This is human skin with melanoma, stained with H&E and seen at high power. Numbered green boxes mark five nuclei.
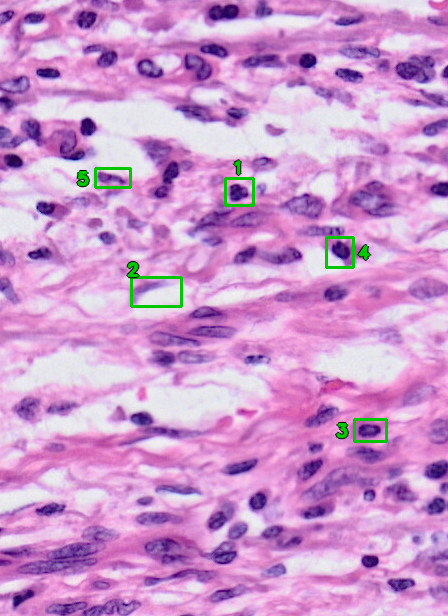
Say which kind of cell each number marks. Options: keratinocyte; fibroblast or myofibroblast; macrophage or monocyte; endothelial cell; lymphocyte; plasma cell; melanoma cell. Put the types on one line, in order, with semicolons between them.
lymphocyte; fibroblast or myofibroblast; plasma cell; plasma cell; fibroblast or myofibroblast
